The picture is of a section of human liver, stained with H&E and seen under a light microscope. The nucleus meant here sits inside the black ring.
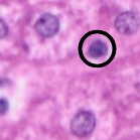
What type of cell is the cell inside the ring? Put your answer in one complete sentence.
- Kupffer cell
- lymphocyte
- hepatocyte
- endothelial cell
In cellular terms, the cell inside the ring is a lymphocyte.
